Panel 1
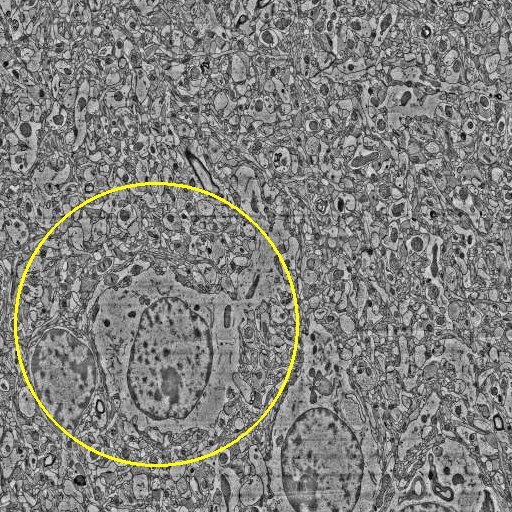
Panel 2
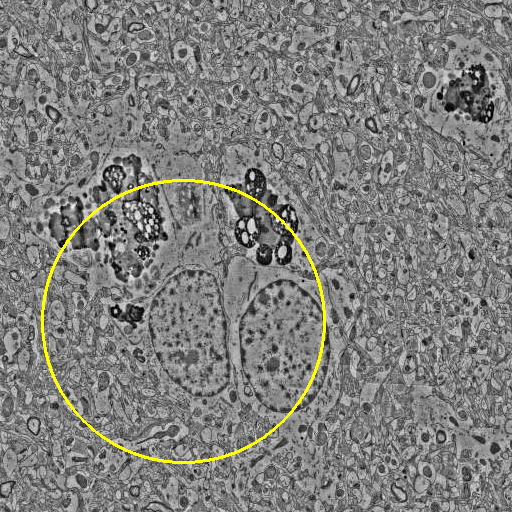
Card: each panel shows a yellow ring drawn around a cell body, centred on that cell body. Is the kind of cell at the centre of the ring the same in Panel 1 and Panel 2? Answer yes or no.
yes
